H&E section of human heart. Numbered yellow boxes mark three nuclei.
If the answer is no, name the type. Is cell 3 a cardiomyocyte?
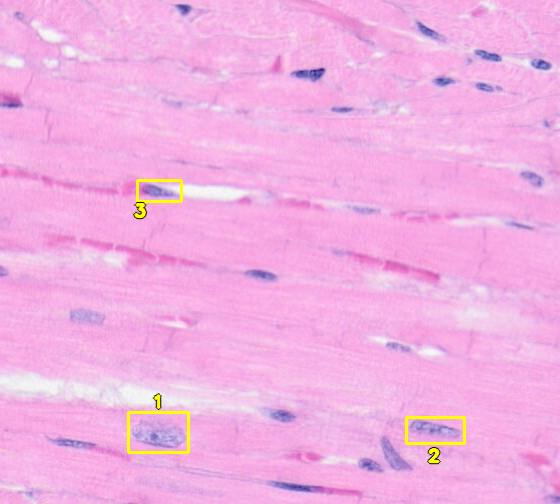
No, it is an endothelial cell.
